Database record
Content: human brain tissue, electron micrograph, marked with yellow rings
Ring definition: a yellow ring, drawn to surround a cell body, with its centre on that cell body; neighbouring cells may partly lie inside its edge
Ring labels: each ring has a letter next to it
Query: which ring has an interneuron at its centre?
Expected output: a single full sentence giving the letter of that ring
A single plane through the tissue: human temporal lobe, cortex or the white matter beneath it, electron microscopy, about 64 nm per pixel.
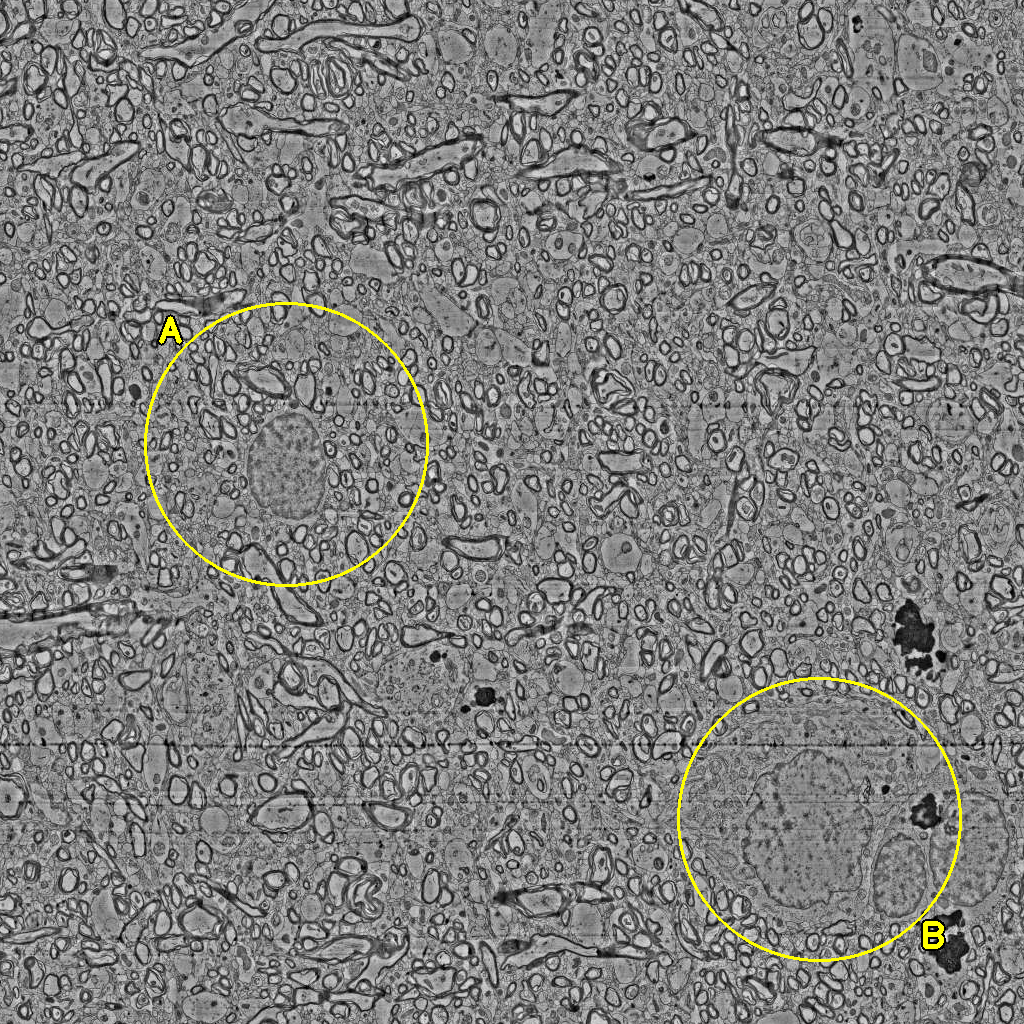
In the picture, the cell being queried lies at the centre of ring B.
